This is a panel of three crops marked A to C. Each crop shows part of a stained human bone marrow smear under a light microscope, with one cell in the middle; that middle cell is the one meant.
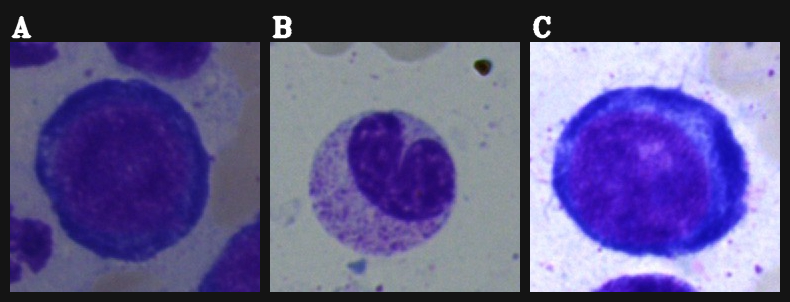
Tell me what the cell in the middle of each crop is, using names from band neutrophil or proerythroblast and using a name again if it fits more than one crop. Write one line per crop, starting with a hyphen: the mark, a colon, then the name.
- A: proerythroblast
- B: band neutrophil
- C: proerythroblast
